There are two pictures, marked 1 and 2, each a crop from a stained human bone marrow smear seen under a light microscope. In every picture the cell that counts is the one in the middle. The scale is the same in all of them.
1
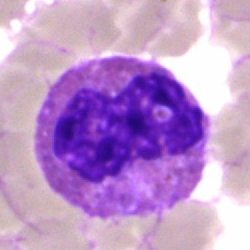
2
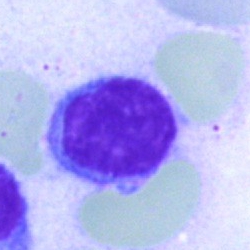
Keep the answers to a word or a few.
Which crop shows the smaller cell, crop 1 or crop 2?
2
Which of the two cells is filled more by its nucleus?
2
